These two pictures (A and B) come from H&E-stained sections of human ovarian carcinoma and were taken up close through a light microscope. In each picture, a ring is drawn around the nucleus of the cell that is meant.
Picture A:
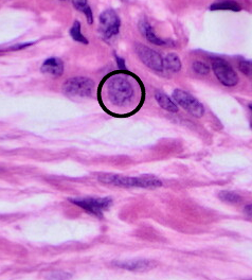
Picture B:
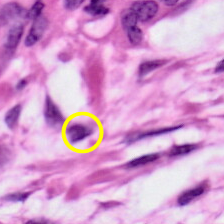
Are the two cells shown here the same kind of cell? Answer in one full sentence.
No, the types are not the same, since picture A shows a carcinoma cell and picture B a fibroblast.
